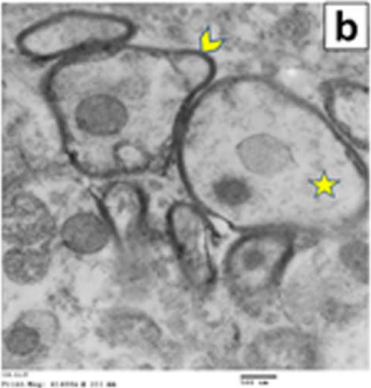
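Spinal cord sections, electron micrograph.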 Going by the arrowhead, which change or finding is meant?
thinning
